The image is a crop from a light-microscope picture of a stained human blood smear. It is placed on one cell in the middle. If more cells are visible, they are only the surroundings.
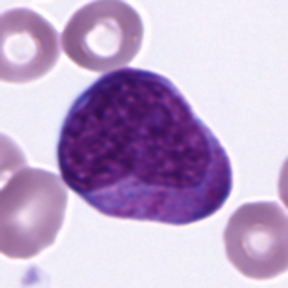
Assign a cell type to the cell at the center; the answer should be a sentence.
The cell featured at the centre of this crop is an atypical promyelocyte.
